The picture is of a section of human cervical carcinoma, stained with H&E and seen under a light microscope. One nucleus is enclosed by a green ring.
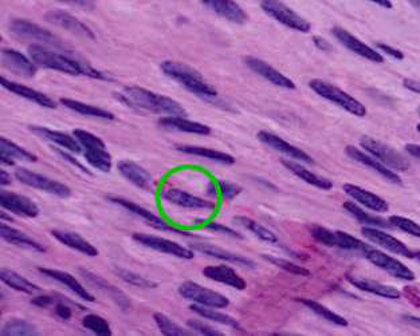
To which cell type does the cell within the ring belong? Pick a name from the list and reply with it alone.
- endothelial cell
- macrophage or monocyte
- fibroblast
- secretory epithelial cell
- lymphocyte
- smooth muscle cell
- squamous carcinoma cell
endothelial cell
